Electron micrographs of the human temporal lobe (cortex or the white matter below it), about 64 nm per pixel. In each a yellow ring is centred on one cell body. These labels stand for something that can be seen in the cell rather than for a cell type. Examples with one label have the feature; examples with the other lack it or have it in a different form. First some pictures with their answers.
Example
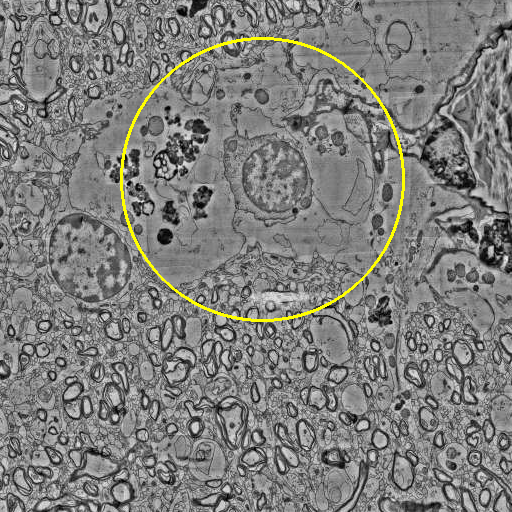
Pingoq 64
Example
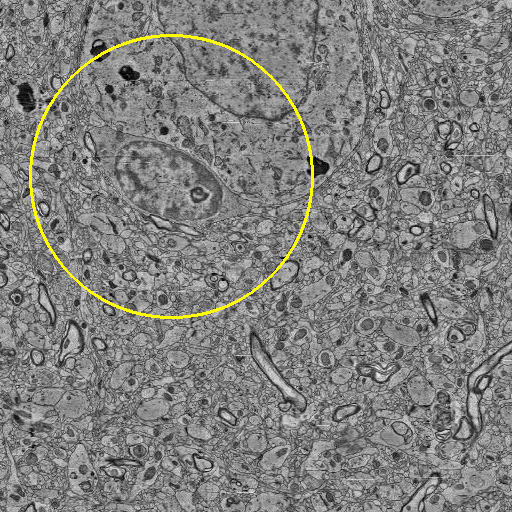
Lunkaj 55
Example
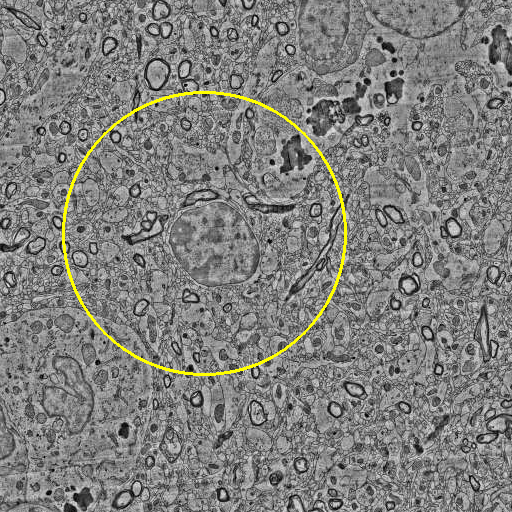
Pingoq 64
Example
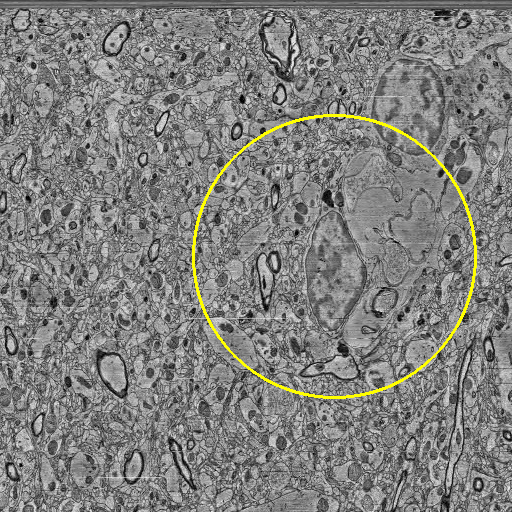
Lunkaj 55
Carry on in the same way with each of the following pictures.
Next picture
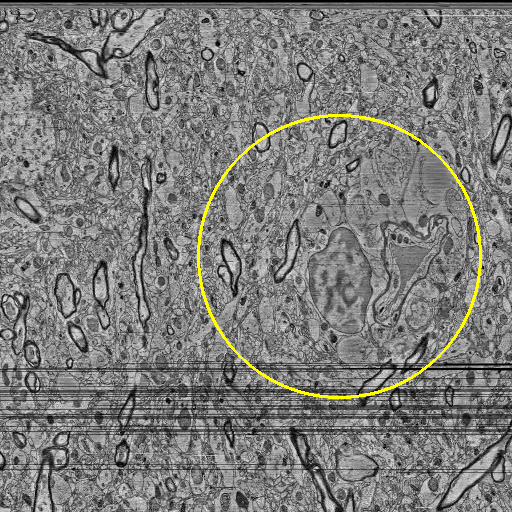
Lunkaj 55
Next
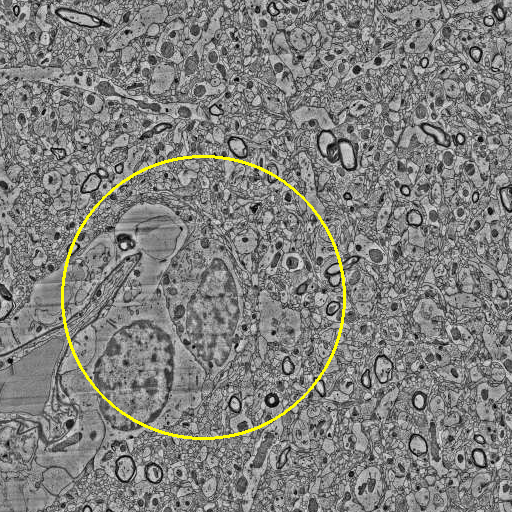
Lunkaj 55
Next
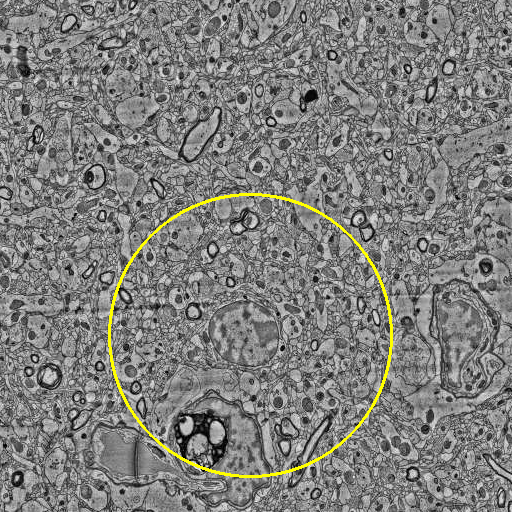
Pingoq 64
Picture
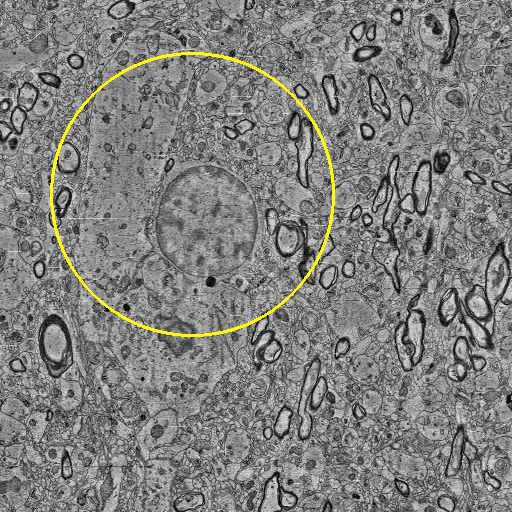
Pingoq 64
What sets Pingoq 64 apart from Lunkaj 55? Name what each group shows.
Seen in Pingoq 64: round or nearly round nuclei; seen in Lunkaj 55: clearly elongated nuclei.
